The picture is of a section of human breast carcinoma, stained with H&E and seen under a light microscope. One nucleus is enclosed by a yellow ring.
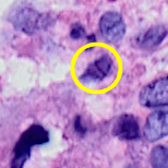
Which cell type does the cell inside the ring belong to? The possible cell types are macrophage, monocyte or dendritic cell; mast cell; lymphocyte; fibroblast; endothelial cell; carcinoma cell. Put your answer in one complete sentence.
Recorded by type, the cell inside the ring is a macrophage, monocyte or dendritic cell.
